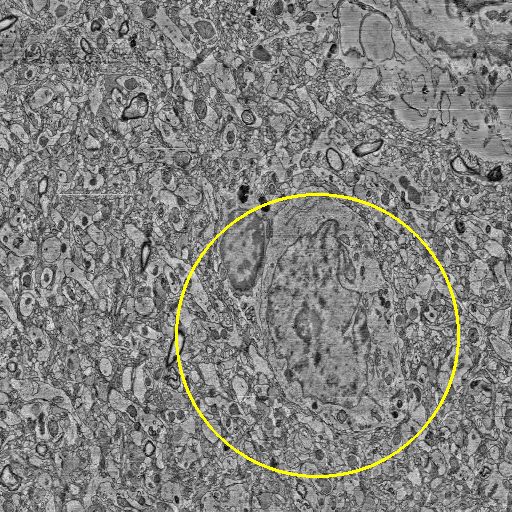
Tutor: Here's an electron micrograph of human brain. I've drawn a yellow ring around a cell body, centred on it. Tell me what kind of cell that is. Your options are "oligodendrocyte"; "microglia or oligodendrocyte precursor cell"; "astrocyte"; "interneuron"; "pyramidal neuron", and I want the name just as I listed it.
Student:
interneuron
